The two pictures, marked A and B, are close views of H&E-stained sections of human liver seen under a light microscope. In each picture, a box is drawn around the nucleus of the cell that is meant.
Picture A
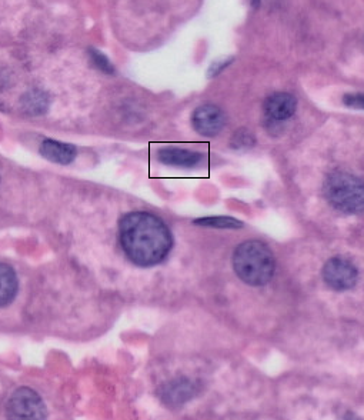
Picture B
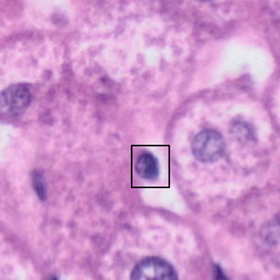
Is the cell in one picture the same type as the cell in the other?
no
